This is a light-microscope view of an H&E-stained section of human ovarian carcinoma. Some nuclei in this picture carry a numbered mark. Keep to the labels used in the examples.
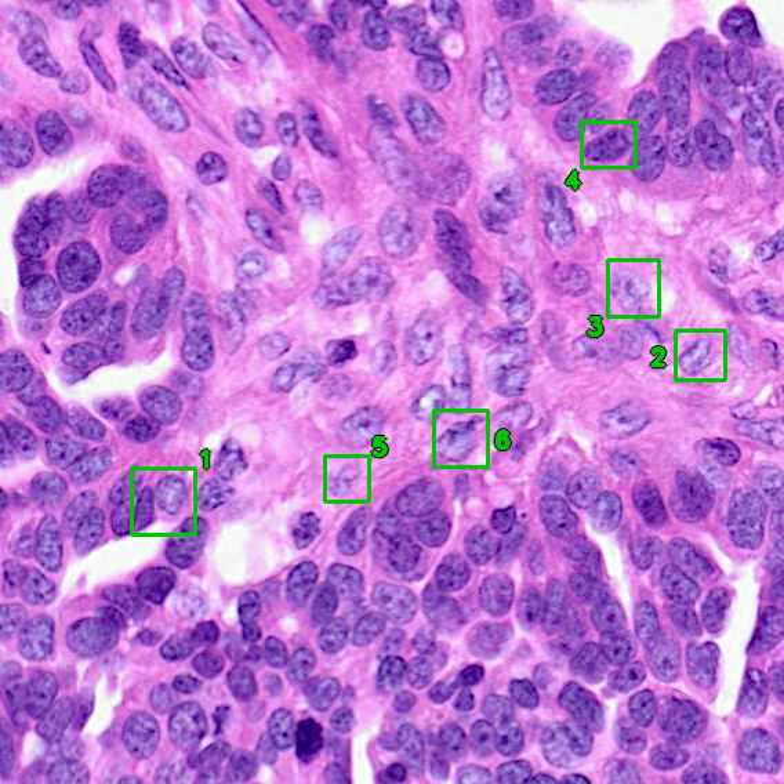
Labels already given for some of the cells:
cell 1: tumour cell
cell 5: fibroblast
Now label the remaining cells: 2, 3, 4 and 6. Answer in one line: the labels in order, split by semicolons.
fibroblast; fibroblast; tumour cell; fibroblast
